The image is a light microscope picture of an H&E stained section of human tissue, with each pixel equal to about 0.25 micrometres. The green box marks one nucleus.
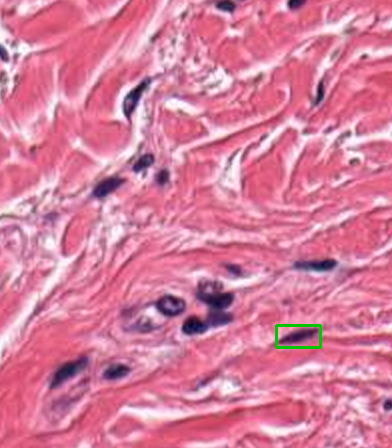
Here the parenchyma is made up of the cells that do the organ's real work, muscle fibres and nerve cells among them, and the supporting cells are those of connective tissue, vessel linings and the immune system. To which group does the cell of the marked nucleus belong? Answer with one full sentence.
A supporting cell contains the marked nucleus.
